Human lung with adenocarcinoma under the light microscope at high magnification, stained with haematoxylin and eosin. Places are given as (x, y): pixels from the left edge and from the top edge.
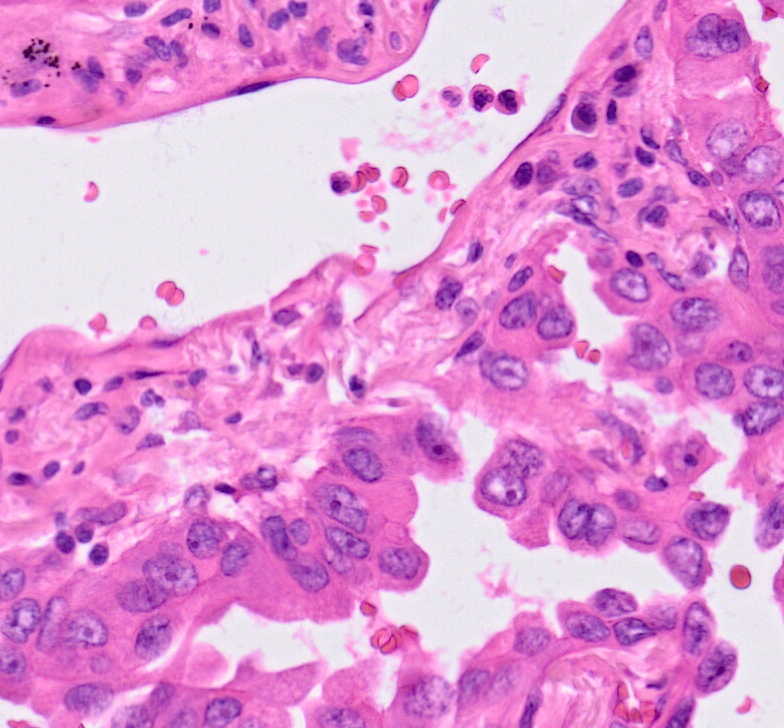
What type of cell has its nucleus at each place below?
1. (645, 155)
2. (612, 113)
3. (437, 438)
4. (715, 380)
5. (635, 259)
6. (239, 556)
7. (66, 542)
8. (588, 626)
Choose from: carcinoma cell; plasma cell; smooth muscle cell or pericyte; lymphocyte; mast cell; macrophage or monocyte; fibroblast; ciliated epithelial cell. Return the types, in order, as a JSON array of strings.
["lymphocyte", "lymphocyte", "carcinoma cell", "carcinoma cell", "lymphocyte", "carcinoma cell", "lymphocyte", "carcinoma cell"]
